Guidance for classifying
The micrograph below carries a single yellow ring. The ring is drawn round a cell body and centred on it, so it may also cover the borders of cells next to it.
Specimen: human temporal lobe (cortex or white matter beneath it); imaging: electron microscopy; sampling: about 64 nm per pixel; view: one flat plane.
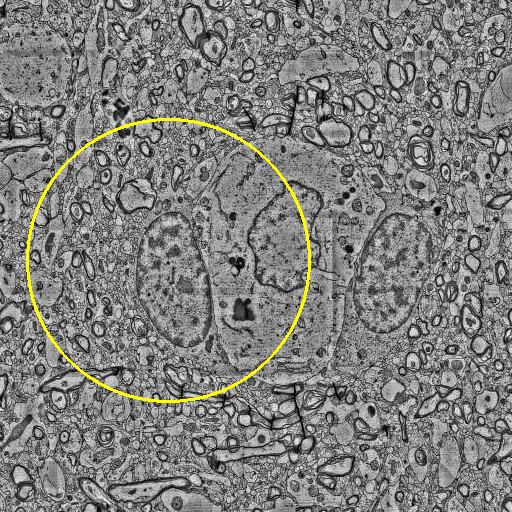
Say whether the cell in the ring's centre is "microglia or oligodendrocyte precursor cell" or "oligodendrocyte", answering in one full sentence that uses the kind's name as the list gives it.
Within the yellow ring, an oligodendrocyte is the cell whose body sits at the centre.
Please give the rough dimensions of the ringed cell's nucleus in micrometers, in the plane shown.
About 9 by 5 micrometers for the nucleus, in this plane.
